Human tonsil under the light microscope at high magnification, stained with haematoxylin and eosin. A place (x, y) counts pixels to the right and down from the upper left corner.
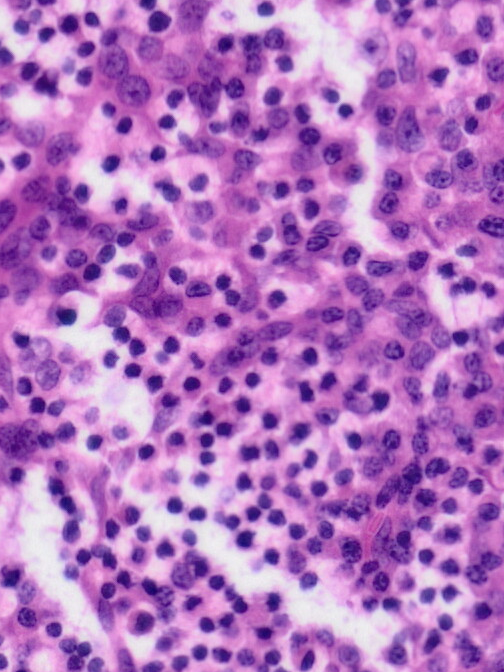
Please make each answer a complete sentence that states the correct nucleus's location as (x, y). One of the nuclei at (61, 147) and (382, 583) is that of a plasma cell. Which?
The nucleus at (382, 583), rather than the other, belongs to a plasma cell.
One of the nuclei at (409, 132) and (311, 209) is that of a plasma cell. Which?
The nucleus whose position is (311, 209) belongs to a plasma cell.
